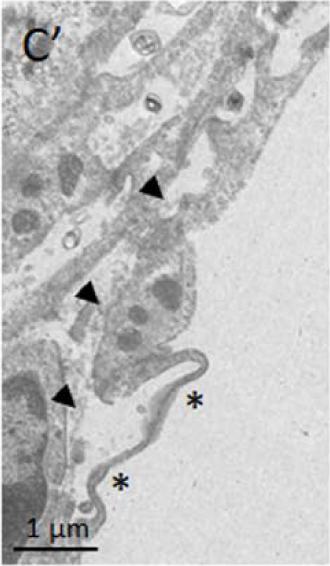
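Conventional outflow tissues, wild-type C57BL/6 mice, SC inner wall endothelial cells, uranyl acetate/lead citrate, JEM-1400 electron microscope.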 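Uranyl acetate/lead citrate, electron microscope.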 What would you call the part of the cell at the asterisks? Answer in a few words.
membrane ruffle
